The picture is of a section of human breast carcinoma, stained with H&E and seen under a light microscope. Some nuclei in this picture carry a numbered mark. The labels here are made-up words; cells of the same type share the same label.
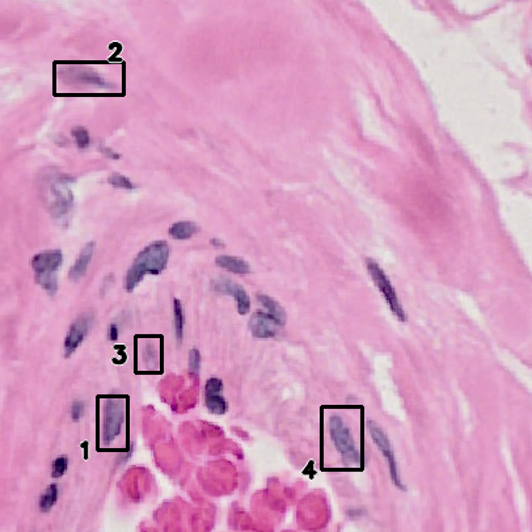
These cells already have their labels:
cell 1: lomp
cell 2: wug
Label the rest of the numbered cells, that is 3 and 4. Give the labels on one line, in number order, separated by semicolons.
lomp; lomp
